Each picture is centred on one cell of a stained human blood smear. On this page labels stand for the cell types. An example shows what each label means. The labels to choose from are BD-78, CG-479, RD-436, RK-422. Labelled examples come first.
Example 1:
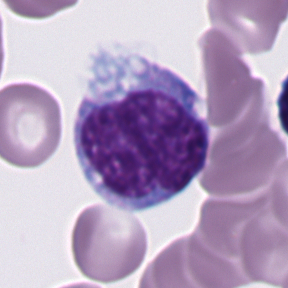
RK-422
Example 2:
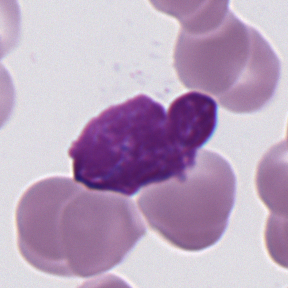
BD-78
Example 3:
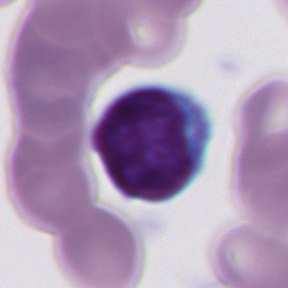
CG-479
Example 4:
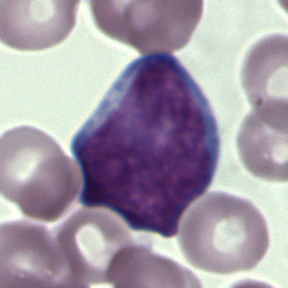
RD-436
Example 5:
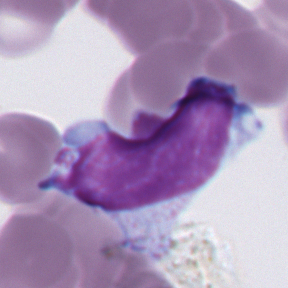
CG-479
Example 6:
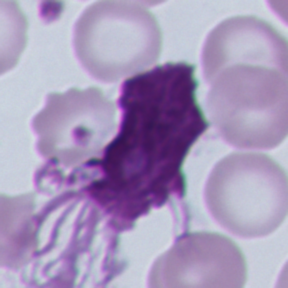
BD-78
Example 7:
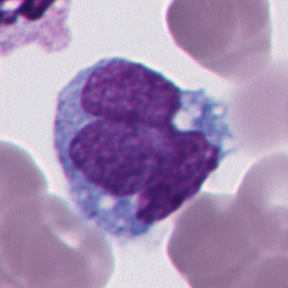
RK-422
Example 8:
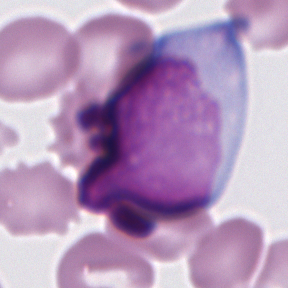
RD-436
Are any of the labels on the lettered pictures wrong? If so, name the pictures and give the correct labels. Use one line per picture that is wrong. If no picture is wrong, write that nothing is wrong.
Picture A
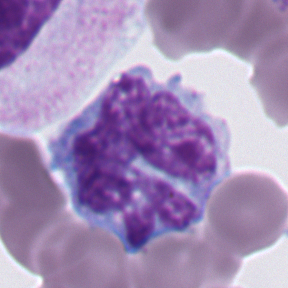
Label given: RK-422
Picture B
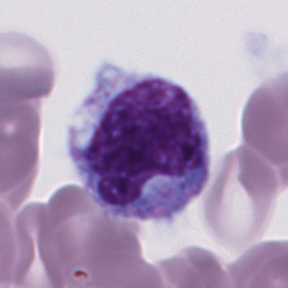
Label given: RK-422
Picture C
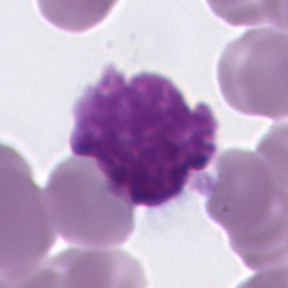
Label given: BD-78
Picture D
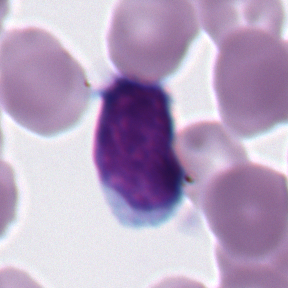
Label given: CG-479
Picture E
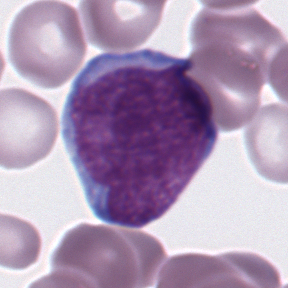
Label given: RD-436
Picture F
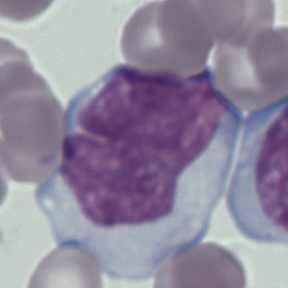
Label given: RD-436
All labels are correct.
